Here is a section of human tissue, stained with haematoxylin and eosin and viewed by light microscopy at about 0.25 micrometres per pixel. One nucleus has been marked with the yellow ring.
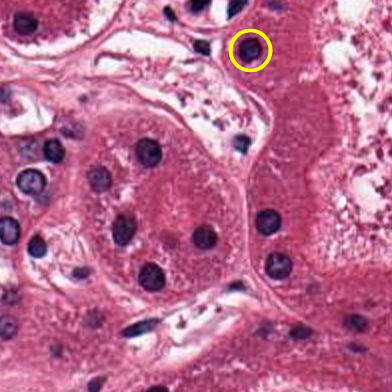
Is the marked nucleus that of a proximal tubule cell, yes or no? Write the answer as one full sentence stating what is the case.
Yes, the nucleus that has been marked is that of a proximal tubule cell.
